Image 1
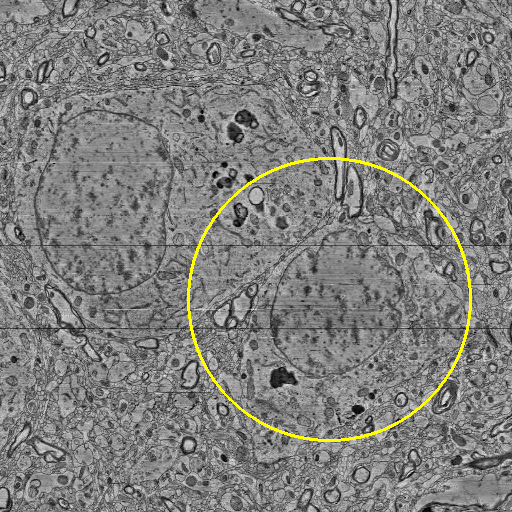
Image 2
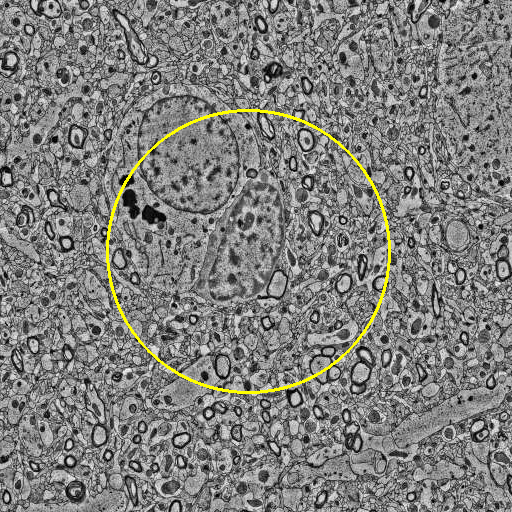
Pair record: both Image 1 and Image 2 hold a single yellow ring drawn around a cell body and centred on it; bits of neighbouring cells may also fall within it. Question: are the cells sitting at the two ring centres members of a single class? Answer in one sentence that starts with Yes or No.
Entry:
No, the ring-centre cells in Image 1 and Image 2 come from two classes.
